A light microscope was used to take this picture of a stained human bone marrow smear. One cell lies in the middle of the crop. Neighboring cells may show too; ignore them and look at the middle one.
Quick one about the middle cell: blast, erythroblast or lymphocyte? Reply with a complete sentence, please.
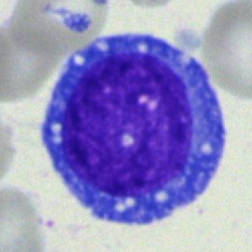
The central cell in this smear crop is a blast.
